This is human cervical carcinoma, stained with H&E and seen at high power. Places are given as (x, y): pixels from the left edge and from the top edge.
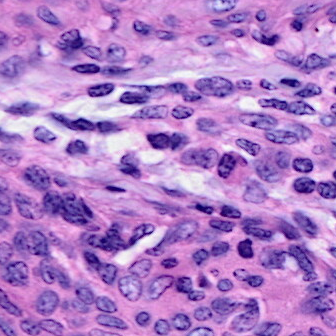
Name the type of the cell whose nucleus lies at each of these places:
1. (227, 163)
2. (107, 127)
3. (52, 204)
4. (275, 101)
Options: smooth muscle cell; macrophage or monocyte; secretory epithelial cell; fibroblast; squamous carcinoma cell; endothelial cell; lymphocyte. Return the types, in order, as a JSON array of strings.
["lymphocyte", "lymphocyte", "squamous carcinoma cell", "lymphocyte"]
